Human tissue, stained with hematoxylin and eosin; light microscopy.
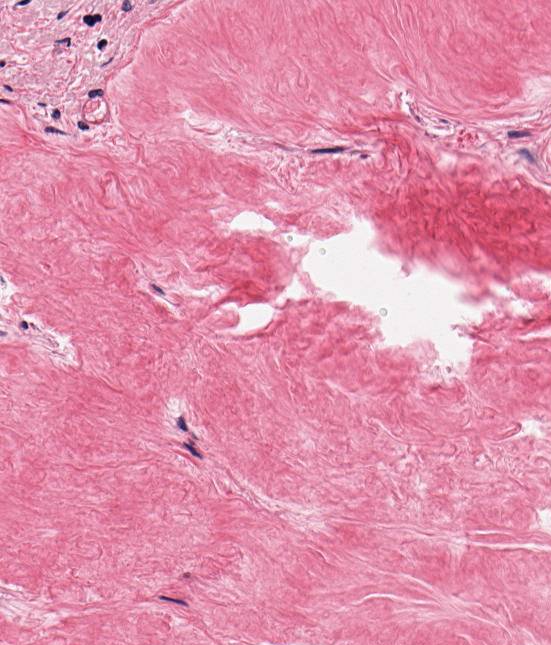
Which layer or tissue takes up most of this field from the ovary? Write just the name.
corpus albicans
